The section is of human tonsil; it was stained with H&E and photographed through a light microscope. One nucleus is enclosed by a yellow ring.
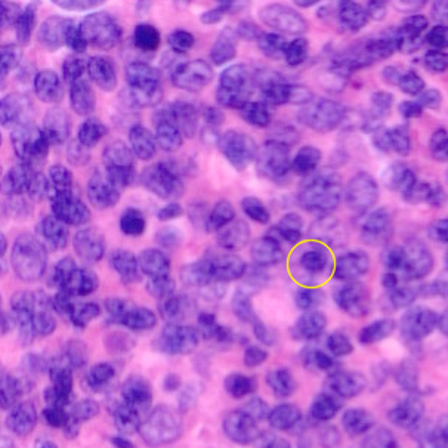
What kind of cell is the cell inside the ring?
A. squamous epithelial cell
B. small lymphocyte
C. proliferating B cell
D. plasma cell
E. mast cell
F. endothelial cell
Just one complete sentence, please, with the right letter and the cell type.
The accurate option is C, with the cell inside the ring being a proliferating B cell.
